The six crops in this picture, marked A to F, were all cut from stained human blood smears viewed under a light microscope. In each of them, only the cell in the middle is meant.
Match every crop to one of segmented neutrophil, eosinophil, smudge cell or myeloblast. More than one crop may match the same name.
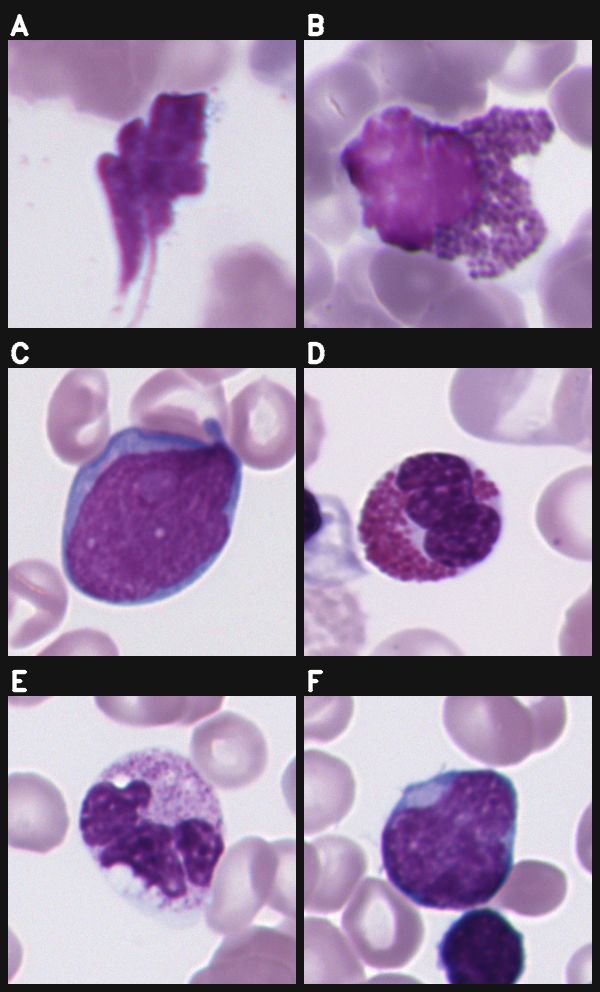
A: smudge cell
B: eosinophil
C: myeloblast
D: eosinophil
E: segmented neutrophil
F: myeloblast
